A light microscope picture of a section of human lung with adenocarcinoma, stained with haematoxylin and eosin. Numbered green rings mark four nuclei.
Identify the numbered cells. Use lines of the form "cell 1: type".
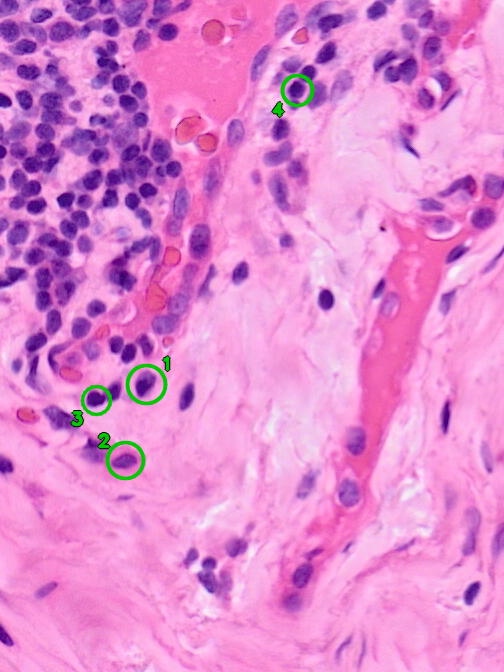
cell 1: lymphocyte
cell 2: mast cell
cell 3: lymphocyte
cell 4: lymphocyte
